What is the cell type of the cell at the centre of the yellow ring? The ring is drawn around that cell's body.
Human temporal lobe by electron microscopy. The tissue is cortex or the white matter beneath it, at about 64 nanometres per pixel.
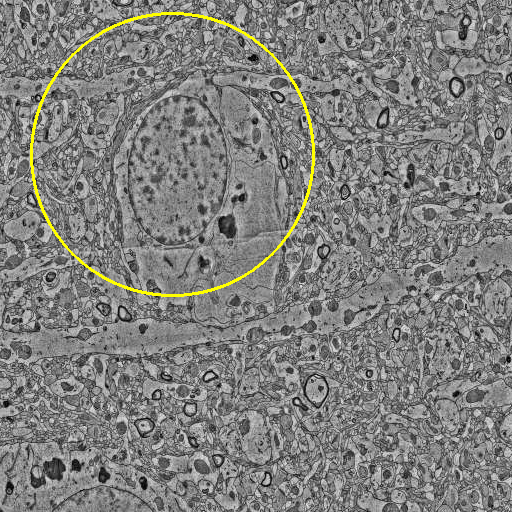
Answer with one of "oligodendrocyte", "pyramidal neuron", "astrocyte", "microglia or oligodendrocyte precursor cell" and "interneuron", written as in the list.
astrocyte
